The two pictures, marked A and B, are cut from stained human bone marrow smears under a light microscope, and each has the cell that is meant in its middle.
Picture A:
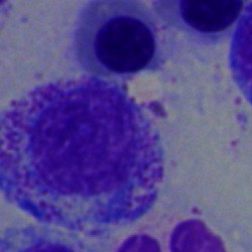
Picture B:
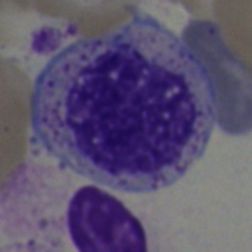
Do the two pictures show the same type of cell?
yes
